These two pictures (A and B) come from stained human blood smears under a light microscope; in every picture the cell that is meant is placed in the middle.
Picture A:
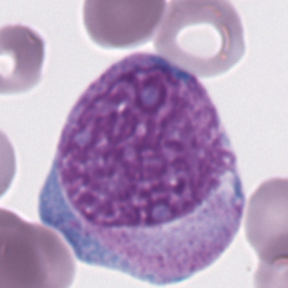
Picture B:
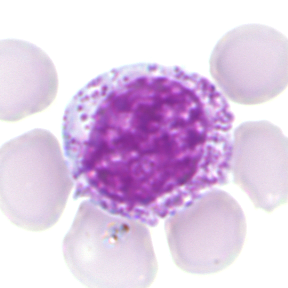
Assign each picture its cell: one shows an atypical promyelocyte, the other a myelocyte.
A: atypical promyelocyte
B: myelocyte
